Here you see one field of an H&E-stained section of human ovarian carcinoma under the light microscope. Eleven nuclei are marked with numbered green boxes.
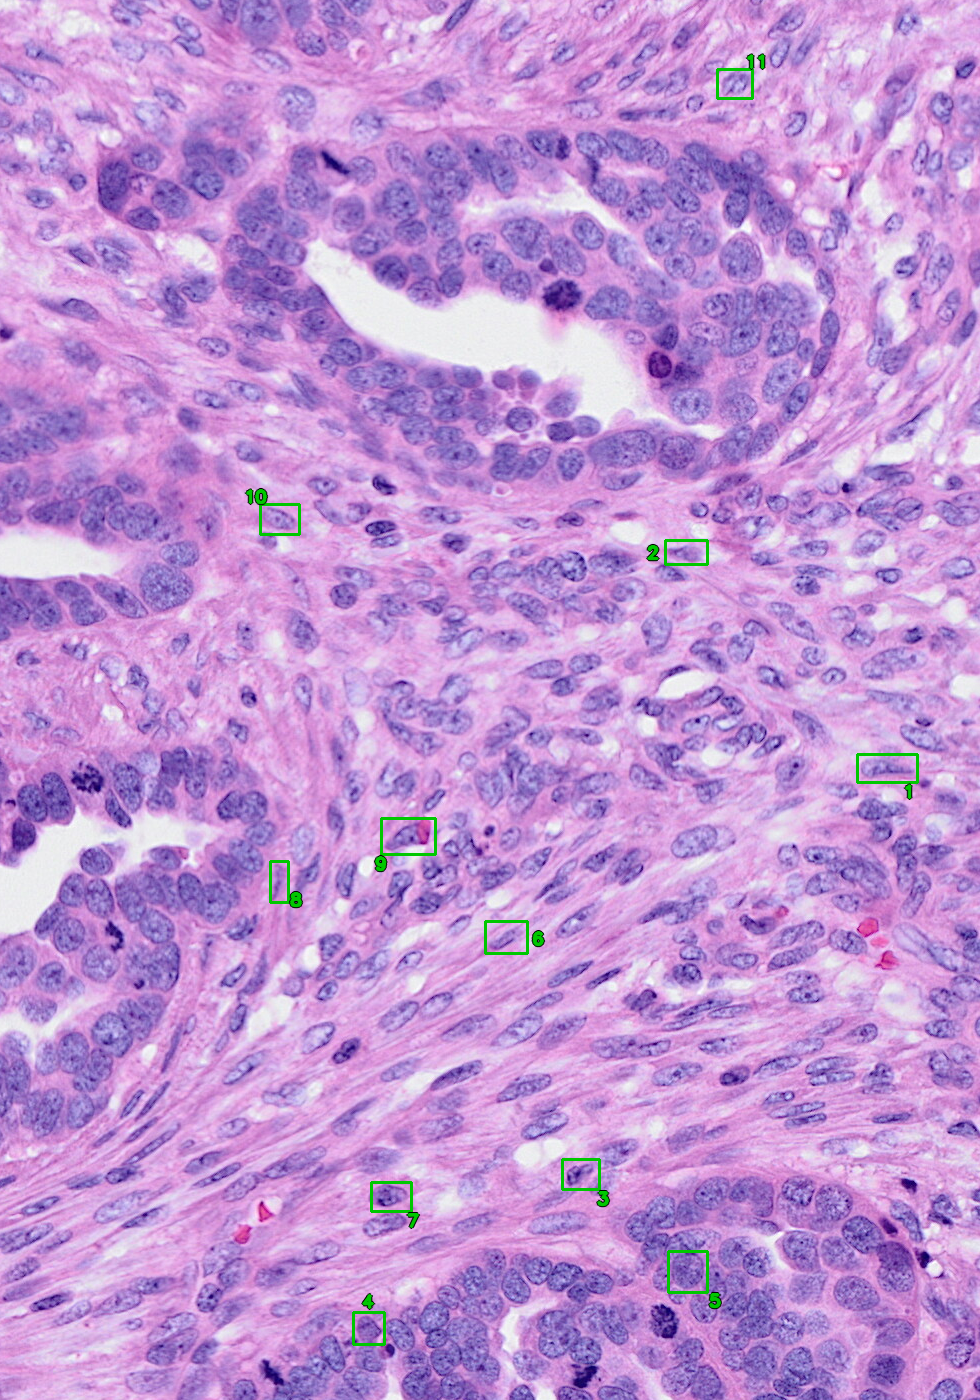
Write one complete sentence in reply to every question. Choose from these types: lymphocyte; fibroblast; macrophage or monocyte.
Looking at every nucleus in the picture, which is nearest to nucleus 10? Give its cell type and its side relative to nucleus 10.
The nearest one is a lymphocyte, found below and to the left of nucleus 10.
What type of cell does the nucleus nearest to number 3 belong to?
The nucleus nearest to number 3 is that of a fibroblast.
